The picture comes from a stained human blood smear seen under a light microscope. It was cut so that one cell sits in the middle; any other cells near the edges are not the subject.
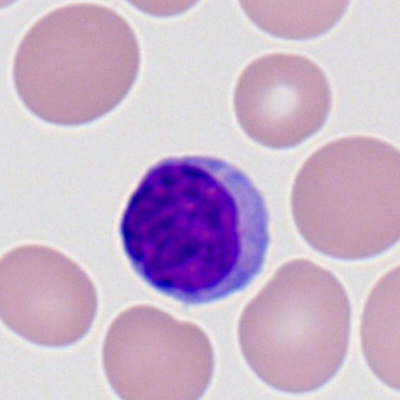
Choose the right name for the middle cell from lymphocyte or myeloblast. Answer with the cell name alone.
lymphocyte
